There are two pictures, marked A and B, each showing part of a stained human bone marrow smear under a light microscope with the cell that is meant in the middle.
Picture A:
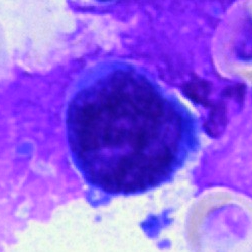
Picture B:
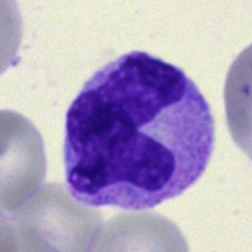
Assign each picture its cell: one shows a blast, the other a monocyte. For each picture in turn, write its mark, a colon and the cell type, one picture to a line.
A: blast
B: monocyte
